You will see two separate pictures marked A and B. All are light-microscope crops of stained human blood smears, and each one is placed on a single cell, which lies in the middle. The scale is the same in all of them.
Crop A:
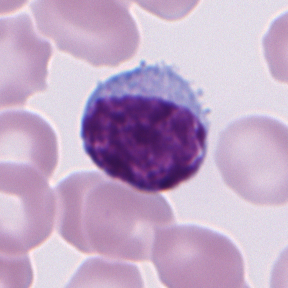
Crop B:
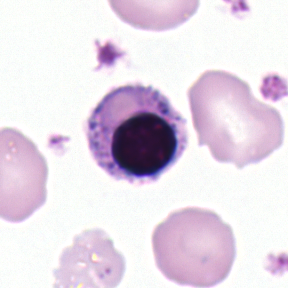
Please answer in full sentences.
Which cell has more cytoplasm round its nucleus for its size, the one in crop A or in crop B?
It is the cell in crop B that is filled less by its nucleus.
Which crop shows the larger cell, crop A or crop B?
The cell in crop A is larger, with about 2 times the area of the one in crop B.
